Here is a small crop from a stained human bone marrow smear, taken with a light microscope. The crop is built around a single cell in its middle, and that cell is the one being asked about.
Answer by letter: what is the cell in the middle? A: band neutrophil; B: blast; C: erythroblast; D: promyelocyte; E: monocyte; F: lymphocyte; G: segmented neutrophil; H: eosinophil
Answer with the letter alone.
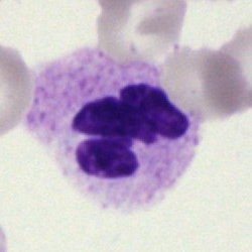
G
